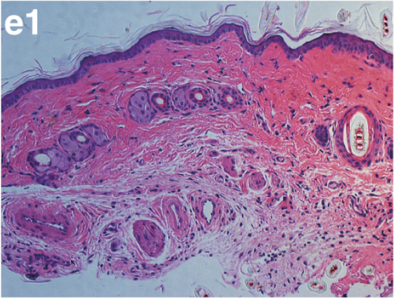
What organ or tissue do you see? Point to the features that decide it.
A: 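Skin. A stratified epithelium with a dark purple basal layer lines the upper surface. Hair follicles and gland lobules lie in the pink connective tissue beneath it. A hair shaft is cut in cross-section in the lower tissue.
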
